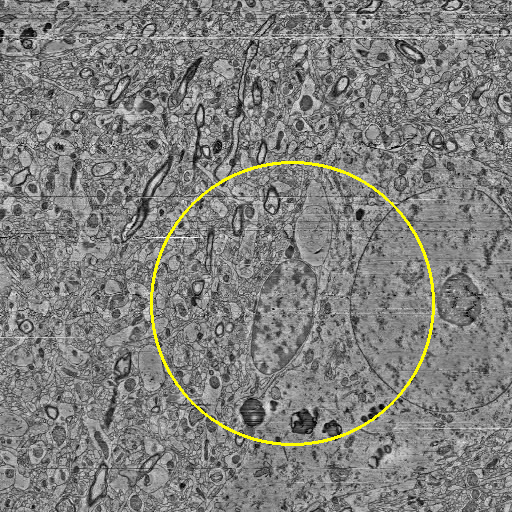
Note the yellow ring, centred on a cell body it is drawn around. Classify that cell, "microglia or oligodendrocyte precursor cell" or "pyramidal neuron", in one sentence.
The cell the ring is centred on is a microglial cell or oligodendrocyte precursor cell.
